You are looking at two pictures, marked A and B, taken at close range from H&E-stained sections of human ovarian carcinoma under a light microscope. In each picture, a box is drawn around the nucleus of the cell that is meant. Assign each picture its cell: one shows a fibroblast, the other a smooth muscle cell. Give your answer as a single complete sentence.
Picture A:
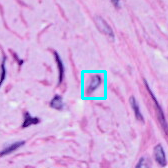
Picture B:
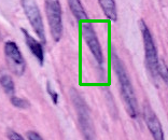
Picture A shows a fibroblast and picture B shows a smooth muscle cell.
